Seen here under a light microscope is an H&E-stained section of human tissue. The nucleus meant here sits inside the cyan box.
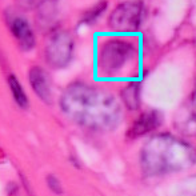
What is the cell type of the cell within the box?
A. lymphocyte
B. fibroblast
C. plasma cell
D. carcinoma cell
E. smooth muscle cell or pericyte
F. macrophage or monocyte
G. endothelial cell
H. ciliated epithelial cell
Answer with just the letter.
H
